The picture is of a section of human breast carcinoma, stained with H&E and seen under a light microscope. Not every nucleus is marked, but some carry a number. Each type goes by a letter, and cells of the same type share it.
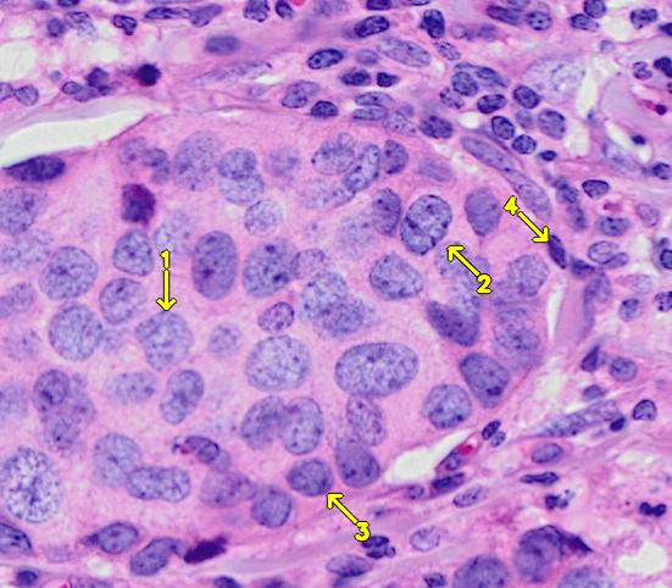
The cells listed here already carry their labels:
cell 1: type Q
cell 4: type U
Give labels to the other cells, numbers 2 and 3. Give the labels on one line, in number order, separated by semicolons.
type Q; type Q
